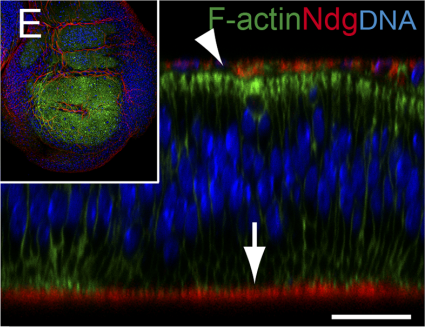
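A cross section through a wing imaginal disc shows a thick, pseudostratified columnar epithelium. Tall, narrow cells run from top to bottom, their outlines marked green, and their elongated blue nuclei crowd in a broad band in the middle of the layer at different heights. Green is strongest near the apical ends of the cells, toward the upper side. A continuous red band lines the basal surface of the epithelium along the bottom. Above the columnar layer lies a thin, flat cell layer, the peripodial membrane, also bordered by red. A small inset shows the whole disc in face view with folds.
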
